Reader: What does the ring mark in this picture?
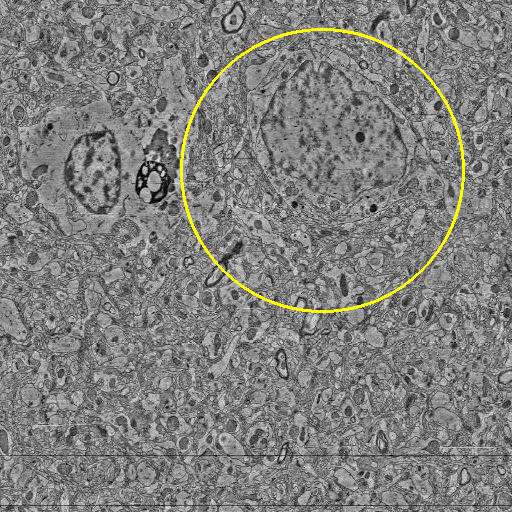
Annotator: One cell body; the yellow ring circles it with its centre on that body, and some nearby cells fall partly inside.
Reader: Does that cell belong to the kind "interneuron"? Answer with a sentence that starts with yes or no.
Yes, in this picture the ringed cell at the centre belongs to that kind.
